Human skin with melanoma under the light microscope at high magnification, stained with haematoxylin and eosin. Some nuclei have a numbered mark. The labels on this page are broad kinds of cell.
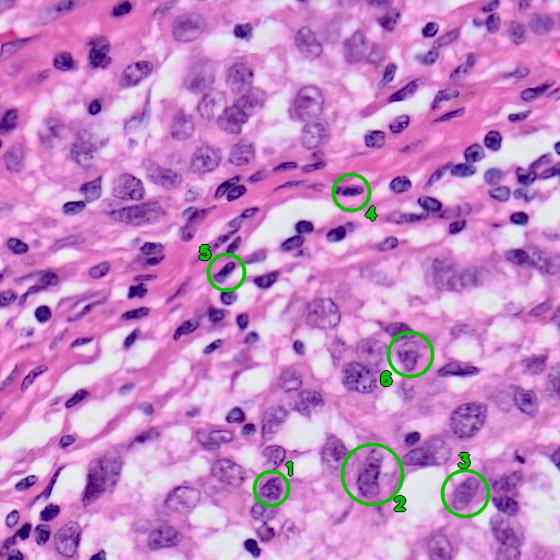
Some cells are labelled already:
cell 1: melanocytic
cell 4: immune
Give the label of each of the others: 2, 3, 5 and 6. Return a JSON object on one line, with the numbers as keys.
{"2": "melanocytic", "3": "melanocytic", "5": "immune", "6": "melanocytic"}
